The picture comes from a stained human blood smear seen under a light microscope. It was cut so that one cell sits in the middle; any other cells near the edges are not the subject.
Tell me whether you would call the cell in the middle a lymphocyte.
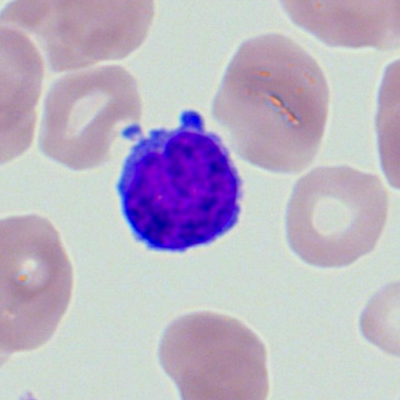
yes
